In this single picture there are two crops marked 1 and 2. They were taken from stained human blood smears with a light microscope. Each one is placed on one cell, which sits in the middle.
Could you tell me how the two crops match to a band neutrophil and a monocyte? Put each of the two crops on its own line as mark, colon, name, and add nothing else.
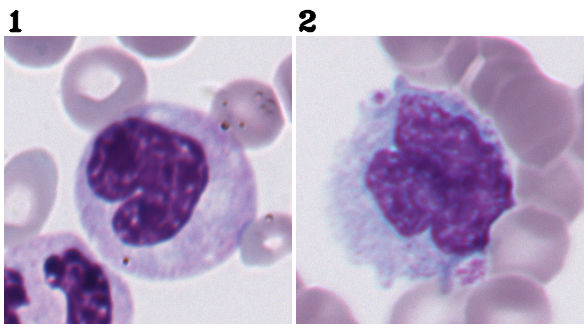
1: band neutrophil
2: monocyte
